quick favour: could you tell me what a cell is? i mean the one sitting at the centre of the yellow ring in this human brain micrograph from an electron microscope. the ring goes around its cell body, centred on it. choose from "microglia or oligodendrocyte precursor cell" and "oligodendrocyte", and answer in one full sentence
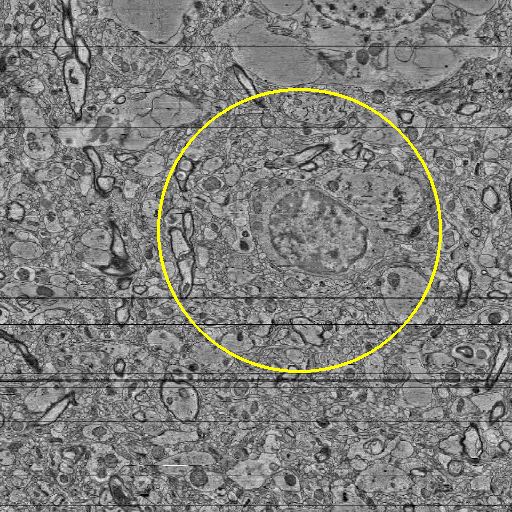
That's an oligodendrocyte, the cell sitting at the centre of the yellow ring.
